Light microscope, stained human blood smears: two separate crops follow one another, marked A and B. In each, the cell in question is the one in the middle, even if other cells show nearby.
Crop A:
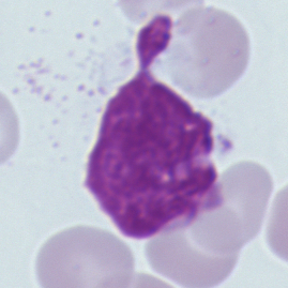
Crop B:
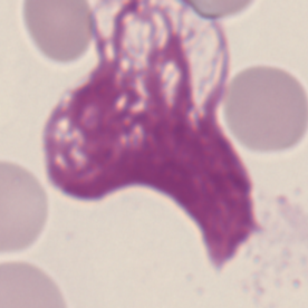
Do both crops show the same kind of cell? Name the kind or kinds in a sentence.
Yes, smudge cells are seen in both crops.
